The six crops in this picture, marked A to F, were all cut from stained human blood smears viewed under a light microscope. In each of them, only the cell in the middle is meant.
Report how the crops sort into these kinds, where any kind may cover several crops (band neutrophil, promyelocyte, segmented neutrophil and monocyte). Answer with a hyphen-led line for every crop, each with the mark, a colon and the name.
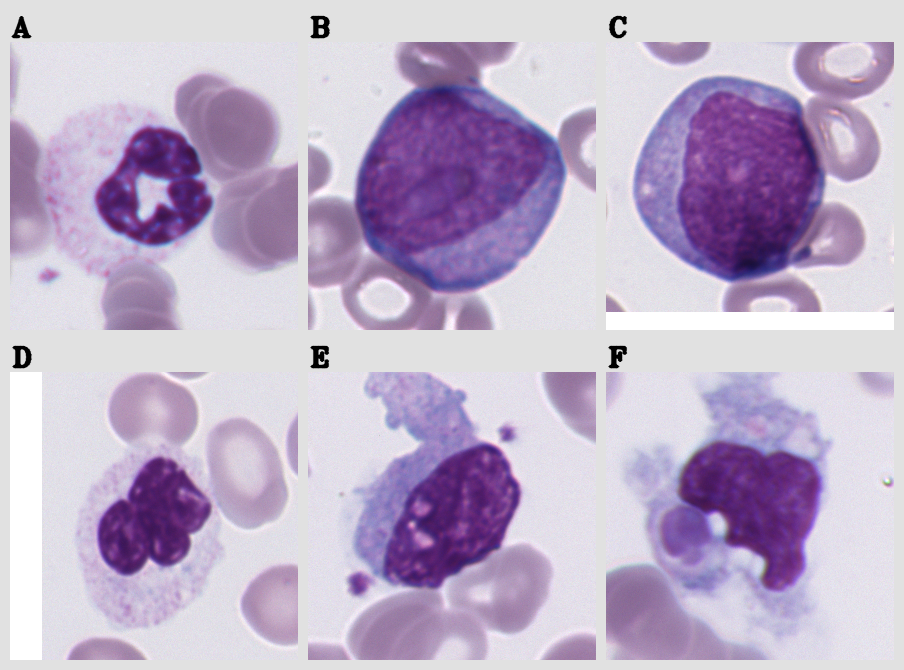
- A: segmented neutrophil
- B: promyelocyte
- C: promyelocyte
- D: segmented neutrophil
- E: monocyte
- F: monocyte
